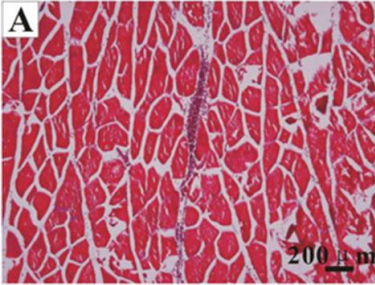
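This is skeletal muscle, and almost all of what you see are muscle fibers stained a strong red. Notice how little blue there is: the connective tissue between the fibers is very thin. Running down the middle is a slender strand carrying a row of small dark nuclei, most likely a small vessel passing between the fibers. The overall picture is of muscle with scant connective tissue.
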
